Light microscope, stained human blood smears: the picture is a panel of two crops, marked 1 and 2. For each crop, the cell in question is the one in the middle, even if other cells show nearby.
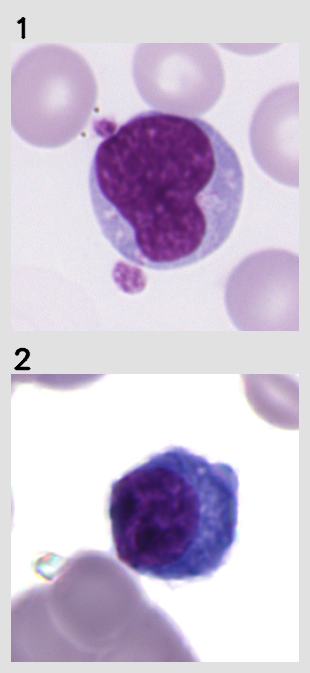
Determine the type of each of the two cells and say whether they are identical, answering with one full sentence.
No, crop 1 shows a typical lymphocyte and crop 2 a plasma cell.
